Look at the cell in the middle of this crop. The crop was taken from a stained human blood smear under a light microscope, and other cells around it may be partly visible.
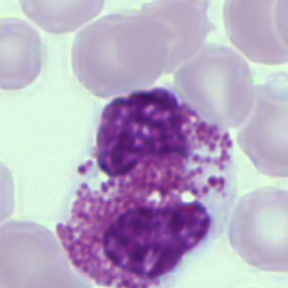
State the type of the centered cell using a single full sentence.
Of the cells in this crop, the central one is an eosinophil.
